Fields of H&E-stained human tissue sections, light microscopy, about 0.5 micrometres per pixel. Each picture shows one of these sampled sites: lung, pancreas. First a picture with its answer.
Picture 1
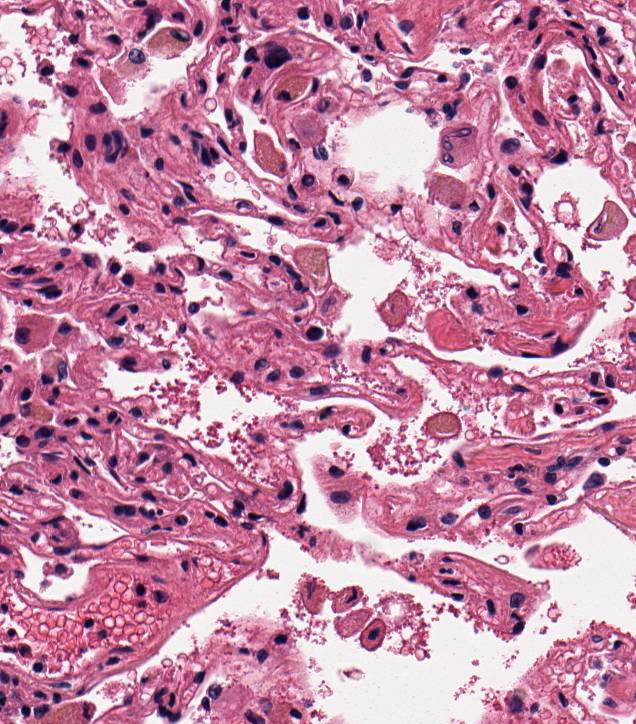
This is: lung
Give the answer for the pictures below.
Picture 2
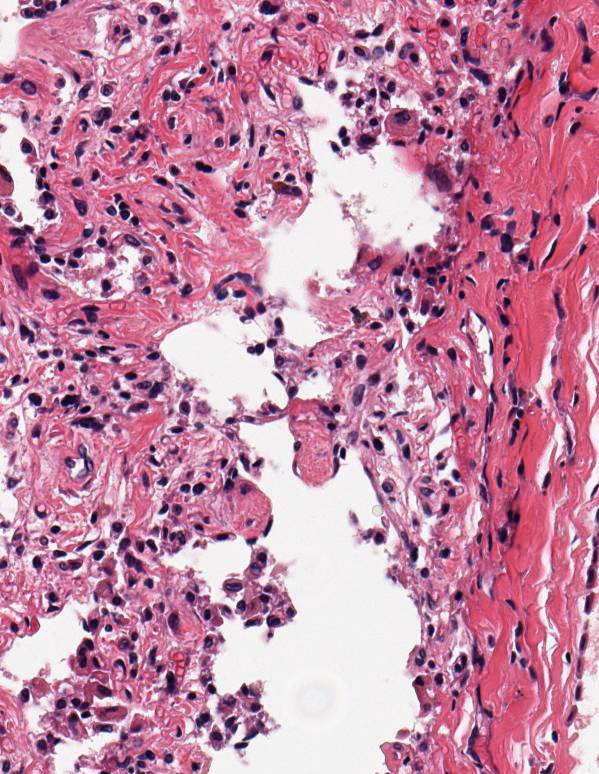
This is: lung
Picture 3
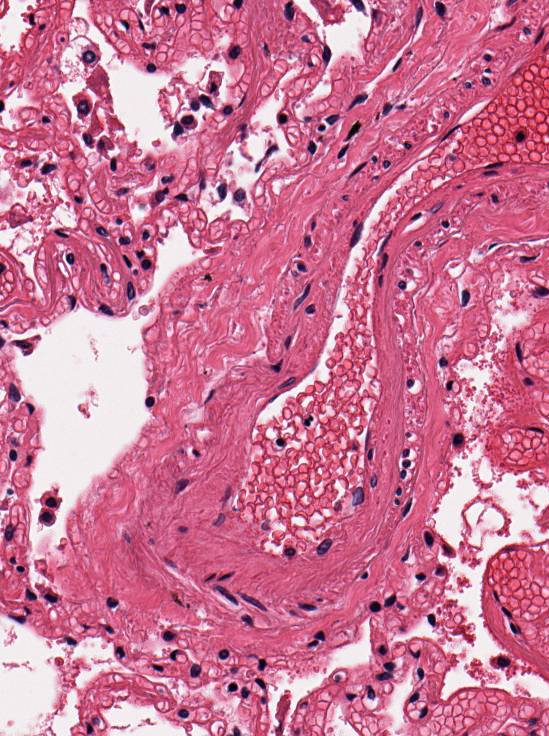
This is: lung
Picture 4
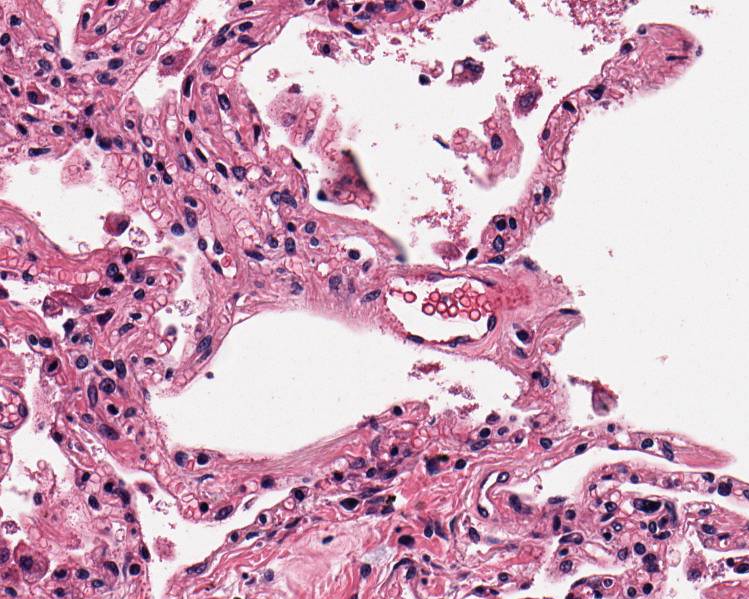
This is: lung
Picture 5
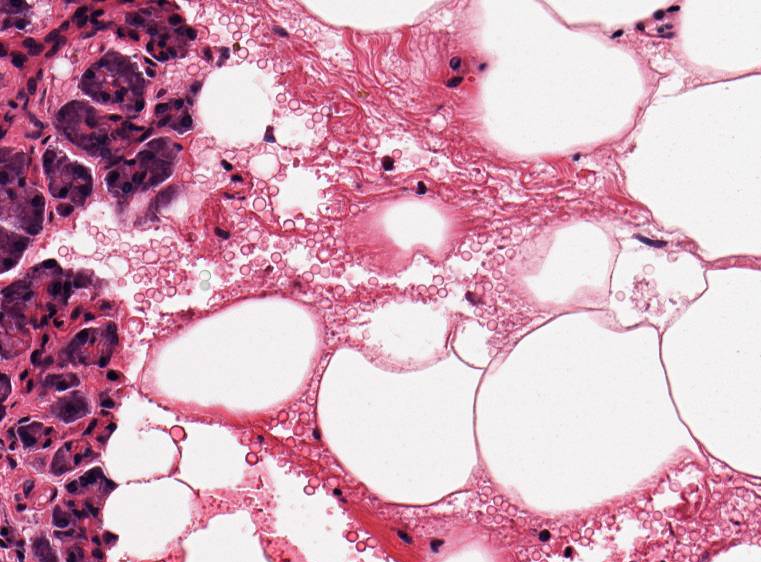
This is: pancreas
